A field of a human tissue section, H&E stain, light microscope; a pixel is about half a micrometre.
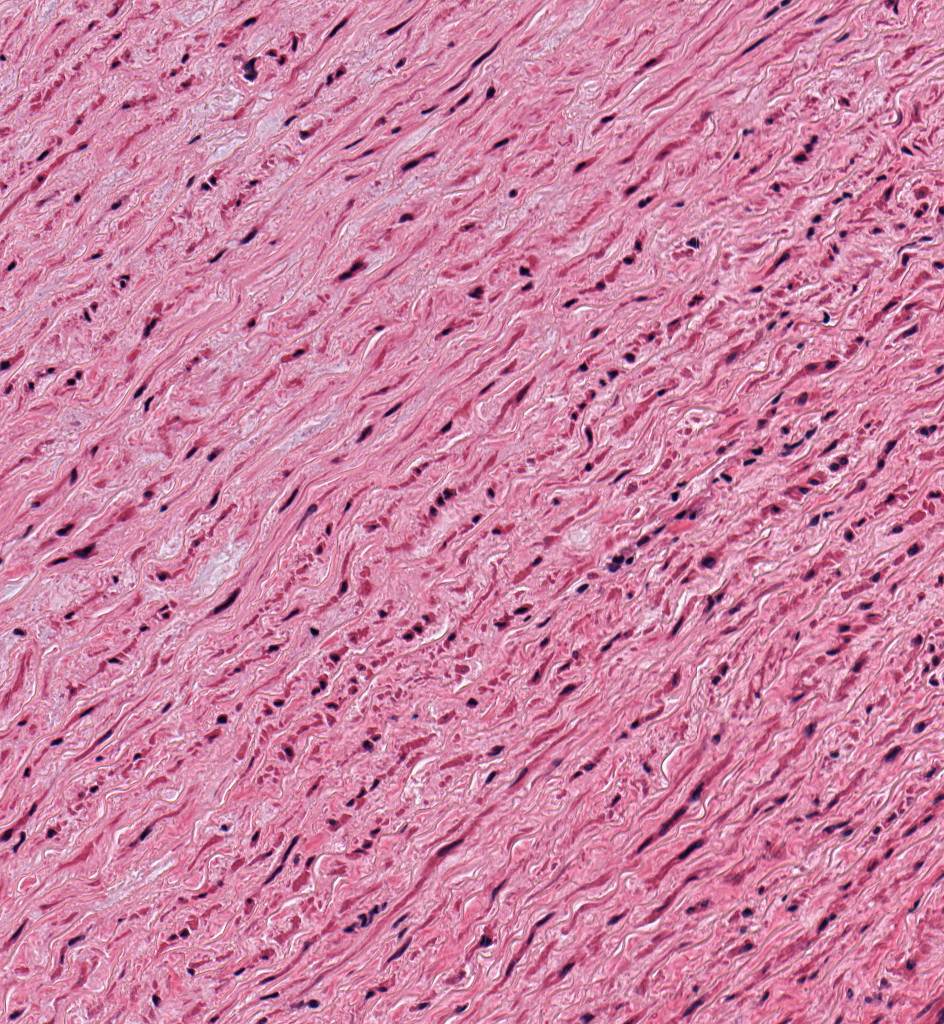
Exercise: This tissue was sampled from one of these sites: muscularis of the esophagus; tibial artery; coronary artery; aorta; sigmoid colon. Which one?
aorta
